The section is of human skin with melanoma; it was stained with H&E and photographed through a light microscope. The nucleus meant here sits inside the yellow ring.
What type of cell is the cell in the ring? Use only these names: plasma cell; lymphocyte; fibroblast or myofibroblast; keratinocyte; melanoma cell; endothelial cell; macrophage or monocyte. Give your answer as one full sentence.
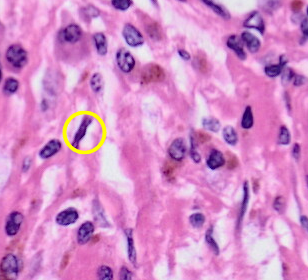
The identity of the cell in the ring: it is a fibroblast or myofibroblast.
